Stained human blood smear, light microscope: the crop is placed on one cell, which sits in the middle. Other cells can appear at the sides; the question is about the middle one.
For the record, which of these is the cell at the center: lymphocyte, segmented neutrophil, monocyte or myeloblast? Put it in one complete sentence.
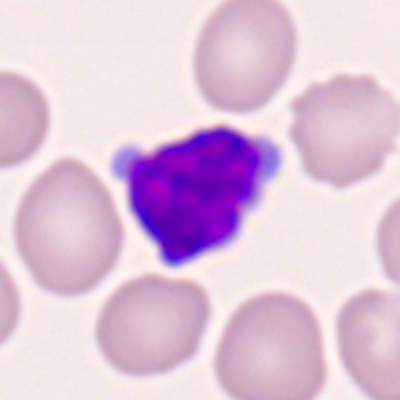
In the middle of this smear crop, the cell is a lymphocyte.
